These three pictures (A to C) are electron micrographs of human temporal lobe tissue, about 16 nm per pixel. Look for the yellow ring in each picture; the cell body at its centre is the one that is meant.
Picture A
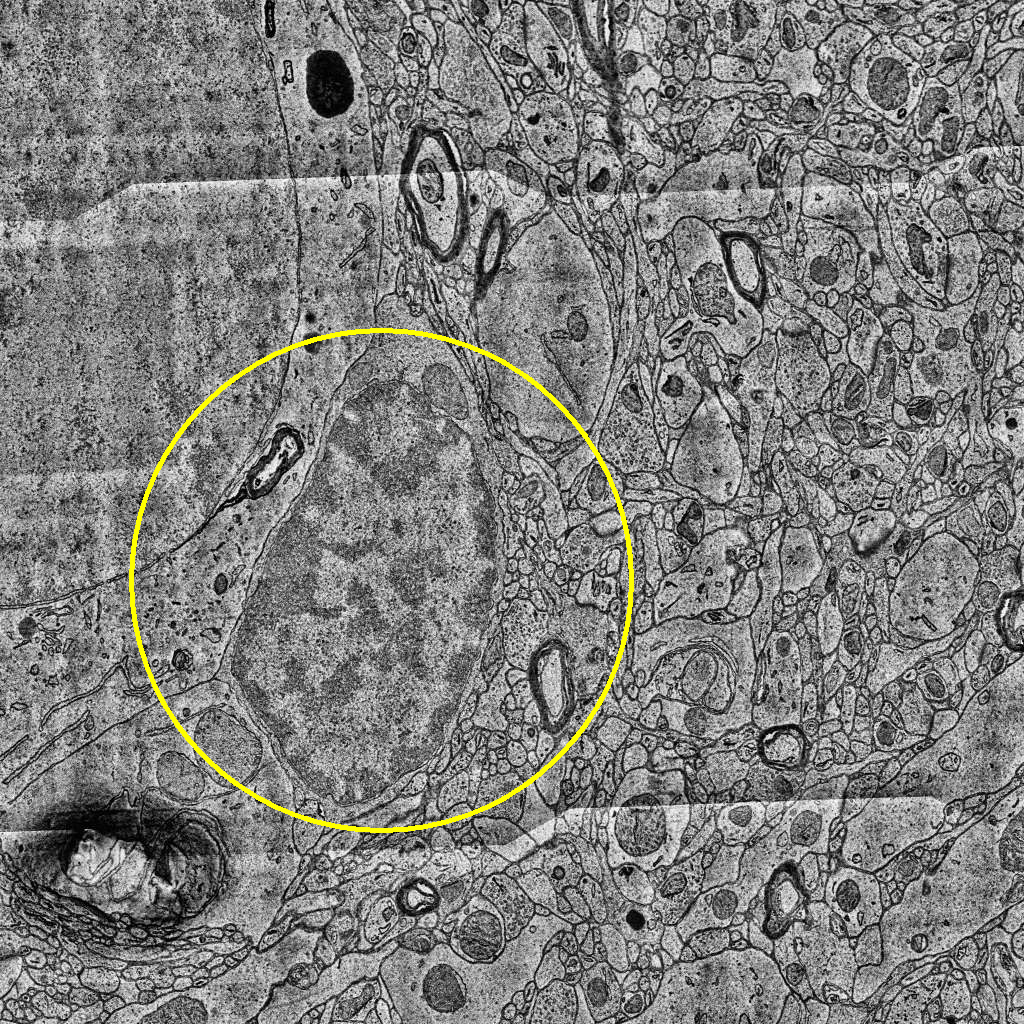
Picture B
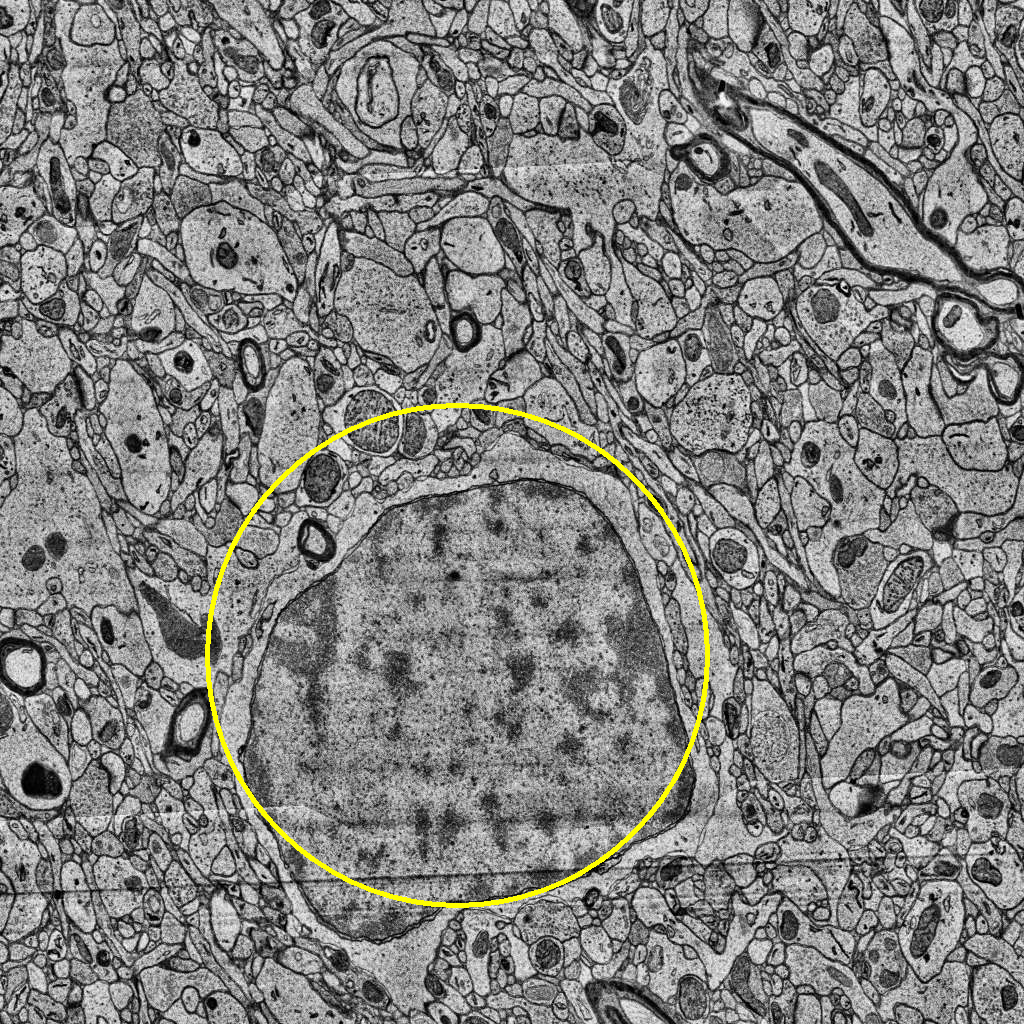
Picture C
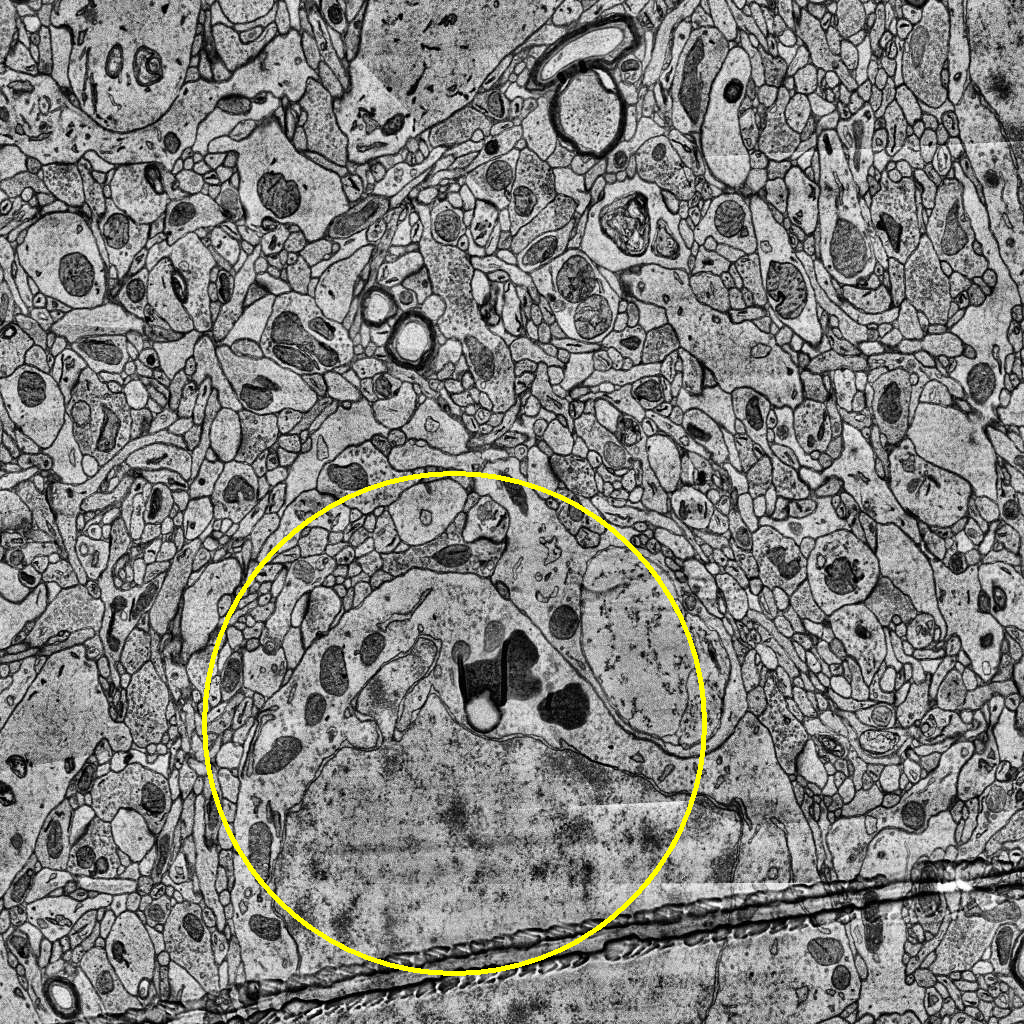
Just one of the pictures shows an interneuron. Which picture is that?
It is picture C that shows the interneuron.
